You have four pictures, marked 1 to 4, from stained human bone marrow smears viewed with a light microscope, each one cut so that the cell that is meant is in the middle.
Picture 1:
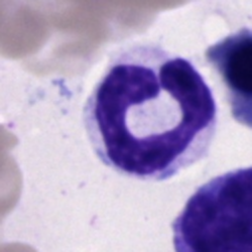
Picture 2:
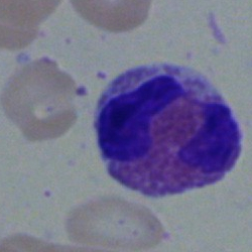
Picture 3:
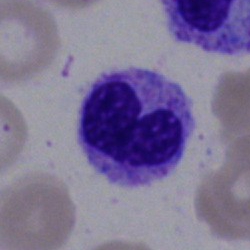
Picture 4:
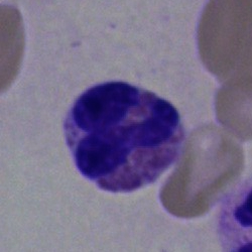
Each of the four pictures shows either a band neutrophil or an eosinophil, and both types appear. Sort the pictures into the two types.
1: band neutrophil
2: eosinophil
3: band neutrophil
4: eosinophil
